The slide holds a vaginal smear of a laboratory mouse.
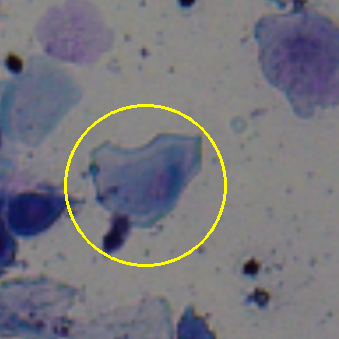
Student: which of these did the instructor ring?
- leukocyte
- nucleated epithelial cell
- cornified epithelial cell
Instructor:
The cell I ringed is a cornified epithelial cell.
